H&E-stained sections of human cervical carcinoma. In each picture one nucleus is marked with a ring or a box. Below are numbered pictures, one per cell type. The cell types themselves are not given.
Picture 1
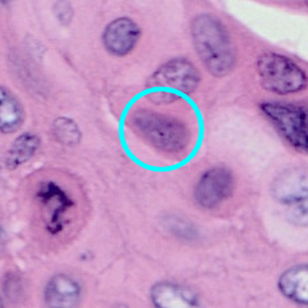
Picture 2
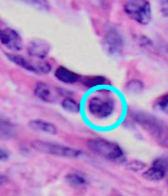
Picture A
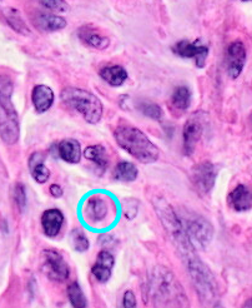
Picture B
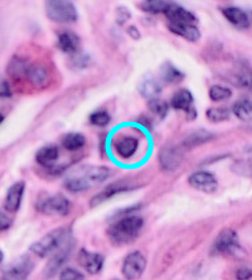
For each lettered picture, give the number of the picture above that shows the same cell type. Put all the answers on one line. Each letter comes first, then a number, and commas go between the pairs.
A 2, B 2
